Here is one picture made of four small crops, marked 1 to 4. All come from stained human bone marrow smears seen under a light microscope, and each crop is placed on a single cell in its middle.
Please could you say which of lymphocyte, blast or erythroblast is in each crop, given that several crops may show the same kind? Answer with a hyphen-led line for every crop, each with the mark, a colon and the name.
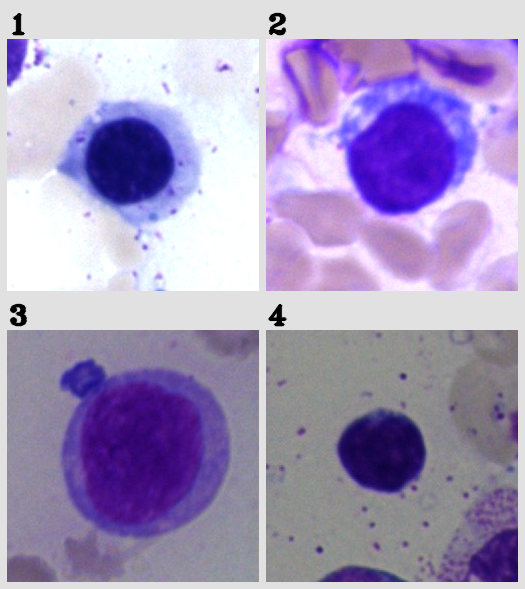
- 1: erythroblast
- 2: lymphocyte
- 3: blast
- 4: lymphocyte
